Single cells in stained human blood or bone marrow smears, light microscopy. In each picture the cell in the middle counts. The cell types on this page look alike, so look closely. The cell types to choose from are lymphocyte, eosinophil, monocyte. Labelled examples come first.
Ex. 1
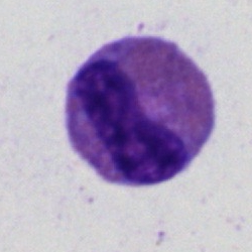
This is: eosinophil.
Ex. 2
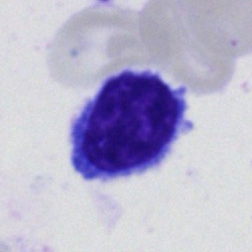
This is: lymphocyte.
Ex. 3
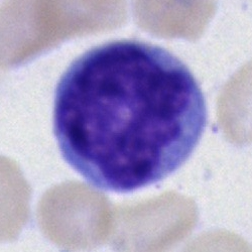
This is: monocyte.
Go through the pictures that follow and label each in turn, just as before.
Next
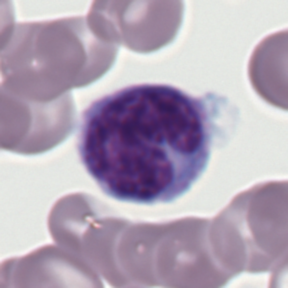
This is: monocyte.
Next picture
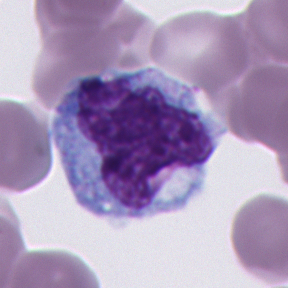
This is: monocyte.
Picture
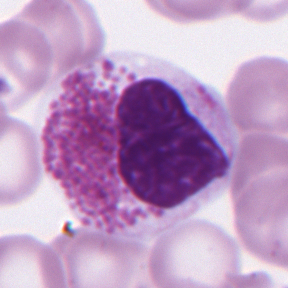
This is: eosinophil.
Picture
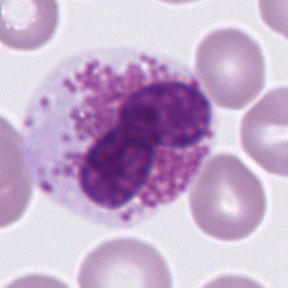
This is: eosinophil.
